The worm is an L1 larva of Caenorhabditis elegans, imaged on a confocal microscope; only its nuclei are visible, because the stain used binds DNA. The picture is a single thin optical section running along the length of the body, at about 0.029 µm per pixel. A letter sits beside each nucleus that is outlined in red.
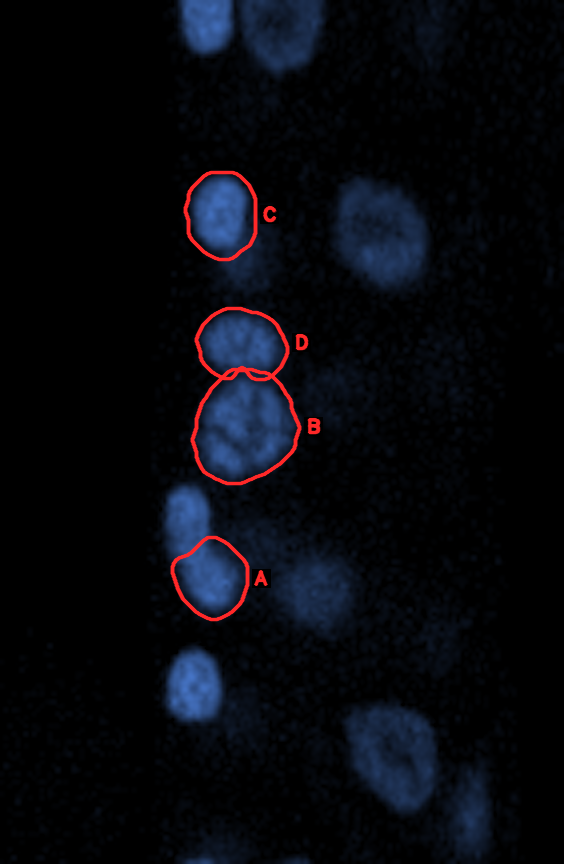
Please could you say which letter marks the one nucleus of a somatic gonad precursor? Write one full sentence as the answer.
Of the marked nuclei, D is the one in a somatic gonad precursor.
